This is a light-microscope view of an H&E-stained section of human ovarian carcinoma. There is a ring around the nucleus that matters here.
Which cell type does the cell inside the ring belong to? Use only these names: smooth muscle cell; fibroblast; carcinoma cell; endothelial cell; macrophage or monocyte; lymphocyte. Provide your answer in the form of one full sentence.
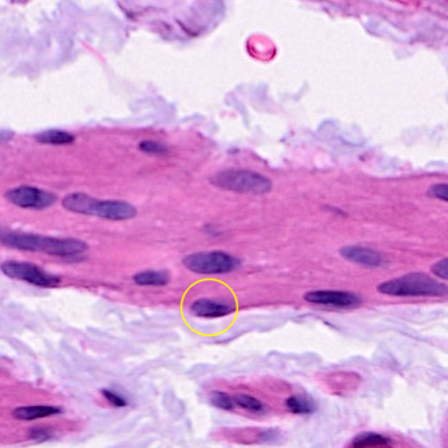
As classified here, the cell inside the ring is a smooth muscle cell.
